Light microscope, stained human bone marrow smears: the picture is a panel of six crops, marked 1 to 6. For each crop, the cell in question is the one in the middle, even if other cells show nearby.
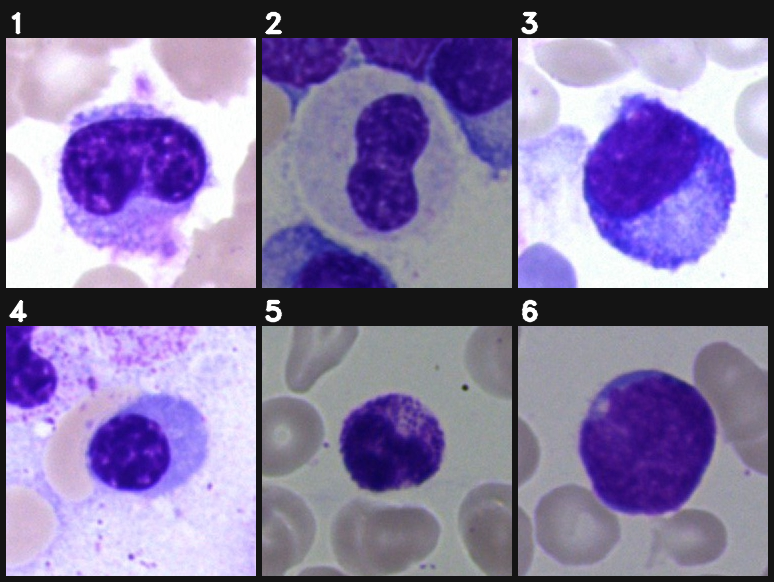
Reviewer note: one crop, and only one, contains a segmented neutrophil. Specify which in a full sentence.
Crop 5 is where a segmented neutrophil is shown.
